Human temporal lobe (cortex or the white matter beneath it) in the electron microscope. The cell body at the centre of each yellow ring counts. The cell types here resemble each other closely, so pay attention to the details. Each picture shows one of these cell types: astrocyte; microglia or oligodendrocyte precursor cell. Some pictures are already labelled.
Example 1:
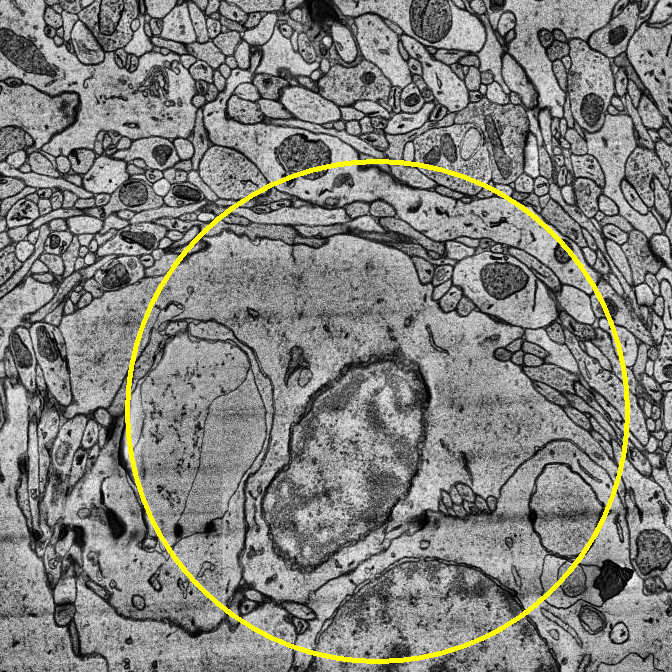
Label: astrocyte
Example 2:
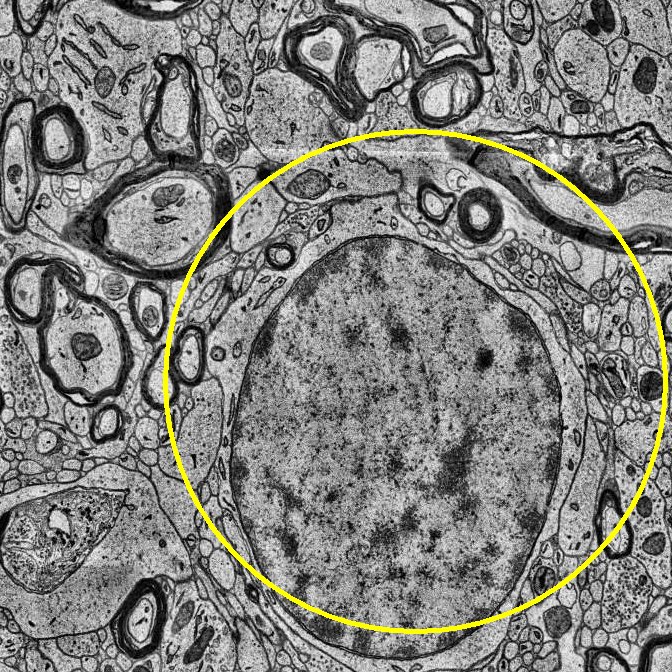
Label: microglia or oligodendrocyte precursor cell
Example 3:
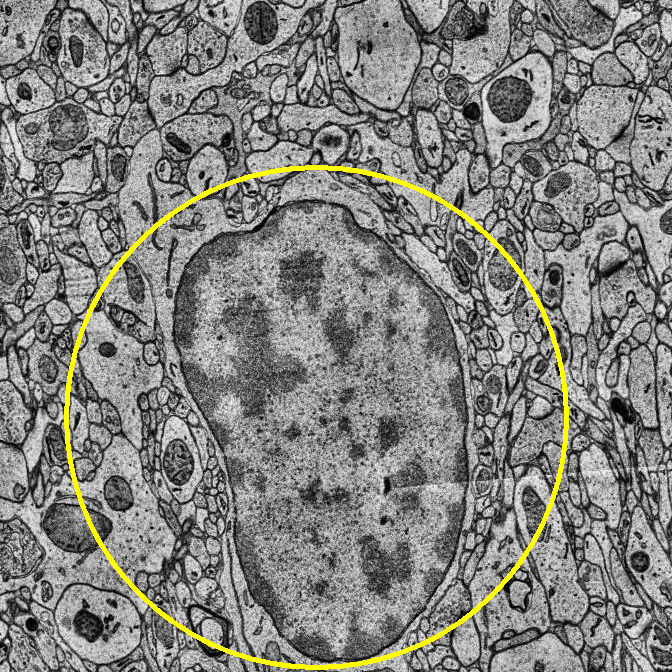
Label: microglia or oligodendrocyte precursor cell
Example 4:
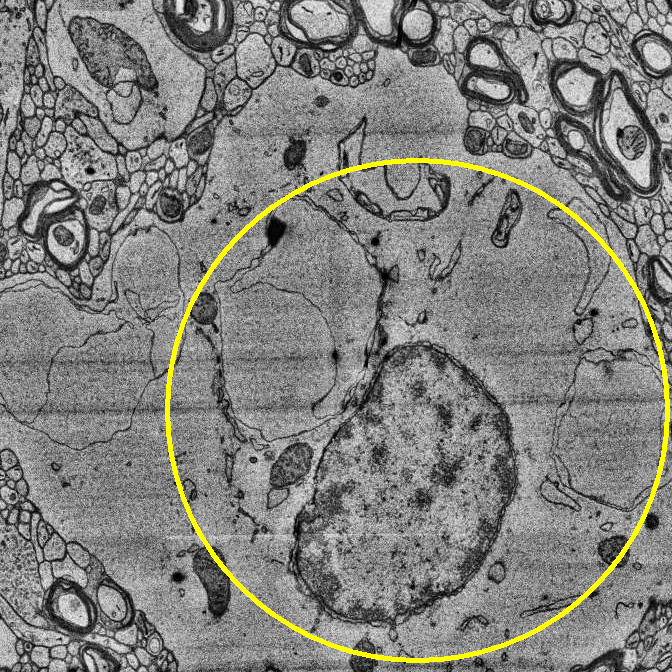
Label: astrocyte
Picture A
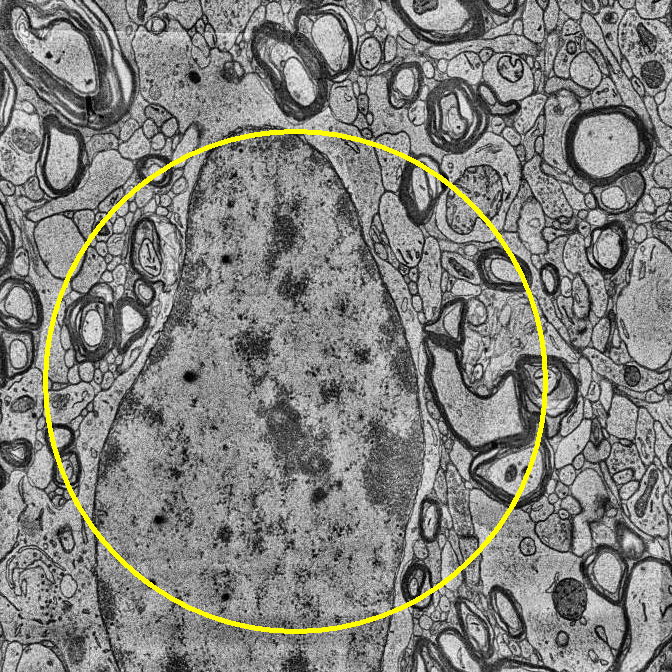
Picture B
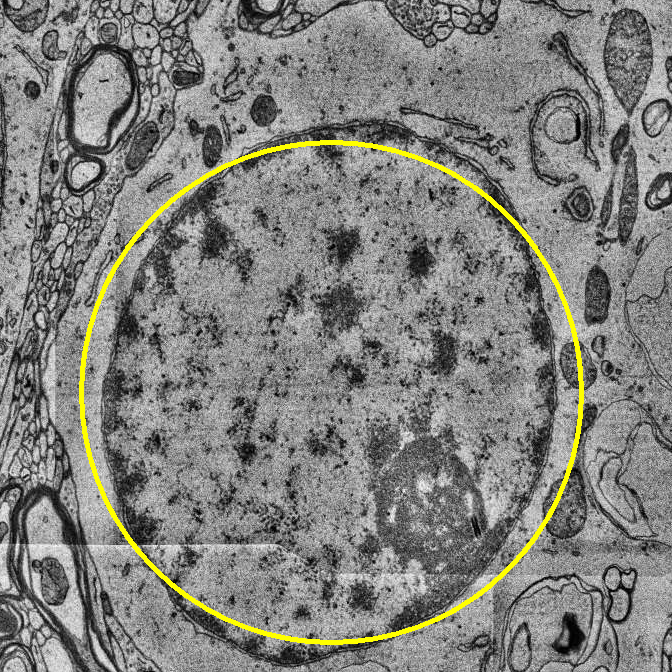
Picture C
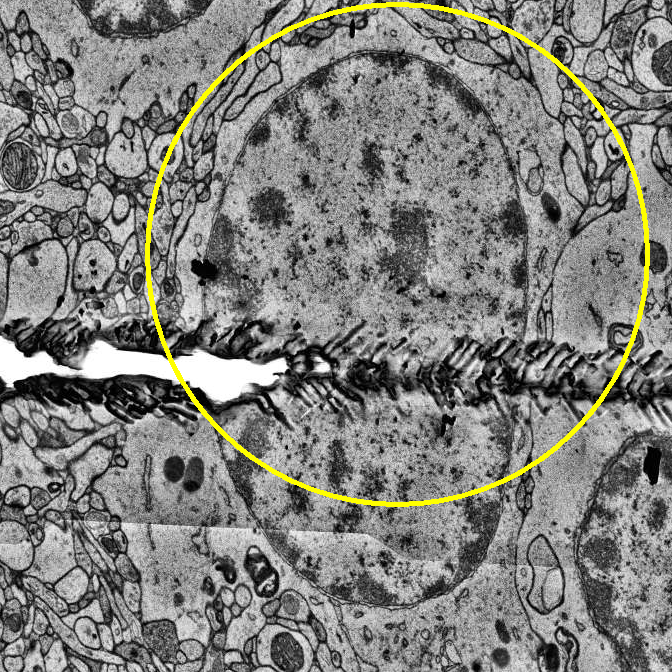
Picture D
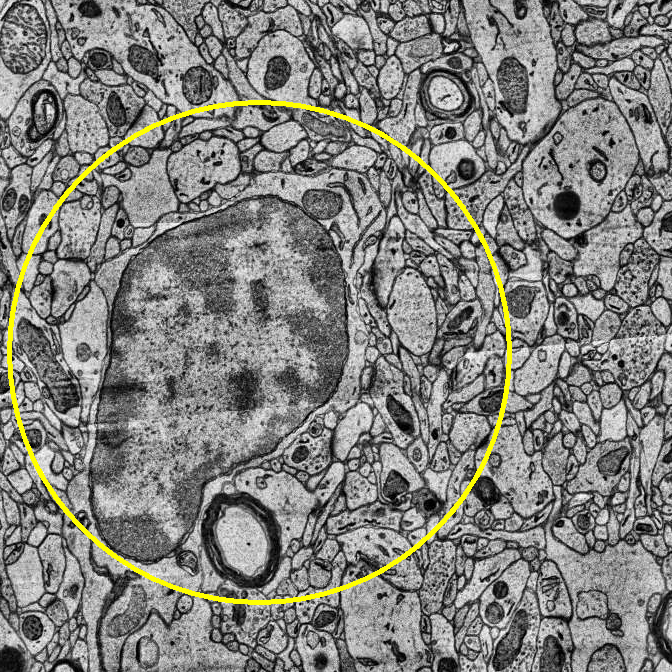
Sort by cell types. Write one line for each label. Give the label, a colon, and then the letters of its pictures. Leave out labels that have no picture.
astrocyte: B, C
microglia or oligodendrocyte precursor cell: A, D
